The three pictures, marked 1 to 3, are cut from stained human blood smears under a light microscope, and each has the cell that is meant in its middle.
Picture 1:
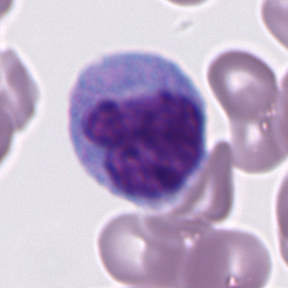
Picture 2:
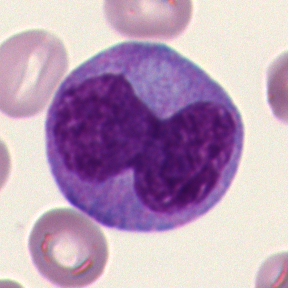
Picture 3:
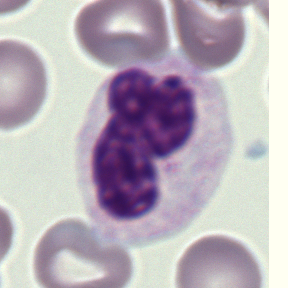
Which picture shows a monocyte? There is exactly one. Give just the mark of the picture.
1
